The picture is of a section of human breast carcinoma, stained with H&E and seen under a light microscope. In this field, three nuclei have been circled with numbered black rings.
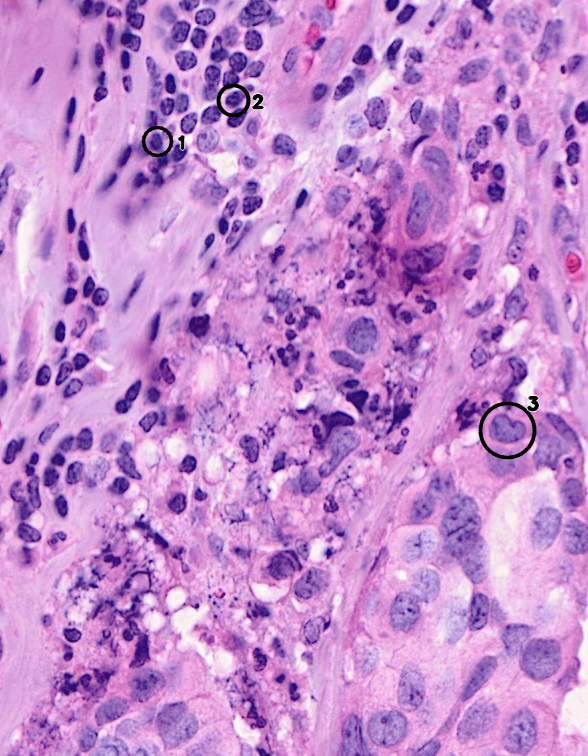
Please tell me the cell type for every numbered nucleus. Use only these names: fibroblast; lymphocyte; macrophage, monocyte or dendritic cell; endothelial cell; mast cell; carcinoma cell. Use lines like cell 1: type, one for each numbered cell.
cell 1: lymphocyte
cell 2: lymphocyte
cell 3: carcinoma cell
